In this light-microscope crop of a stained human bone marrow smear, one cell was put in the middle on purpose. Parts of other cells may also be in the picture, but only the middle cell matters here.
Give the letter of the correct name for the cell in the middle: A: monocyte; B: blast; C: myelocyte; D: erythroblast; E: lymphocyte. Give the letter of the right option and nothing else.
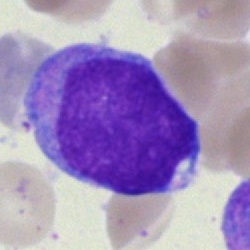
B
